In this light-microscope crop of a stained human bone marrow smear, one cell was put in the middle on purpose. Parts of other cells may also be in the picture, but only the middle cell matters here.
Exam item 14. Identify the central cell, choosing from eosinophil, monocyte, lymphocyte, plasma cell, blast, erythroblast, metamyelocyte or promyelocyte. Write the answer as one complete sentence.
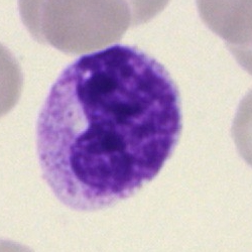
The cell at the central position in this crop is a metamyelocyte.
